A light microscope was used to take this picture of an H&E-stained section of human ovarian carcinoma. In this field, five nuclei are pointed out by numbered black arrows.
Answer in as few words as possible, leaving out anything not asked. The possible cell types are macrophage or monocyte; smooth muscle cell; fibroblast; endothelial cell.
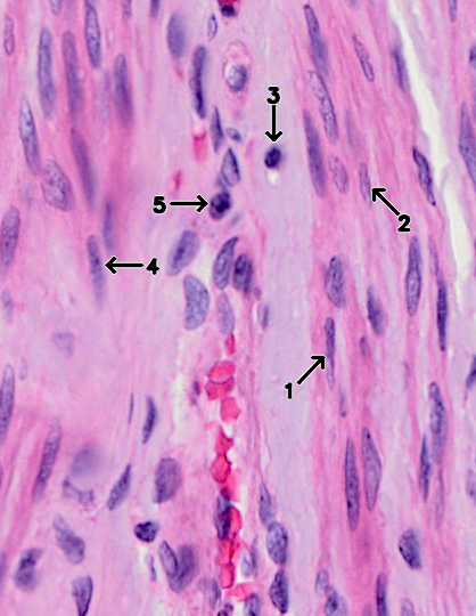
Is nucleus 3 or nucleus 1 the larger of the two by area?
1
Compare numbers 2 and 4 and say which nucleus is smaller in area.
2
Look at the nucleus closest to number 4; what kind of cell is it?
smooth muscle cell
